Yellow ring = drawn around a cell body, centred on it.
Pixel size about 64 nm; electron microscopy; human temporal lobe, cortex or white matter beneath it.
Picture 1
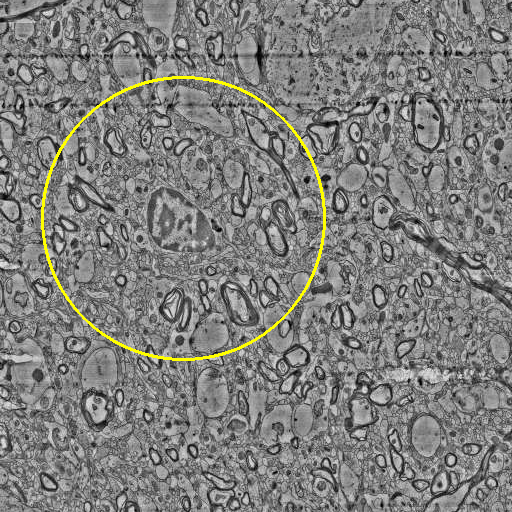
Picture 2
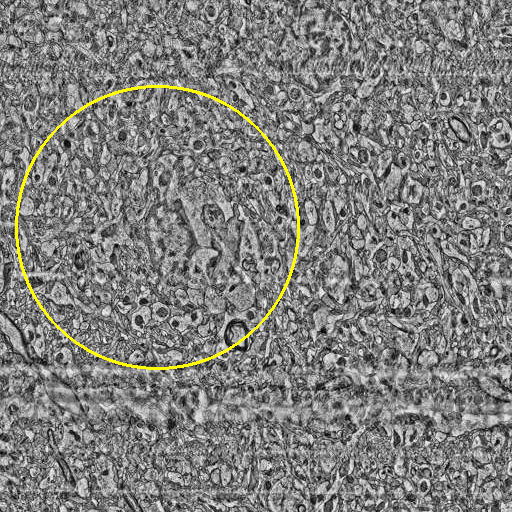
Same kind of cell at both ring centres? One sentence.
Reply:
No, they are two kinds of cell.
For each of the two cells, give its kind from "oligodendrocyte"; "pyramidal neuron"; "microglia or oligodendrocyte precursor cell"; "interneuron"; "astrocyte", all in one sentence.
The first picture has a microglial cell or oligodendrocyte precursor cell in its ring, the second has an oligodendrocyte.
